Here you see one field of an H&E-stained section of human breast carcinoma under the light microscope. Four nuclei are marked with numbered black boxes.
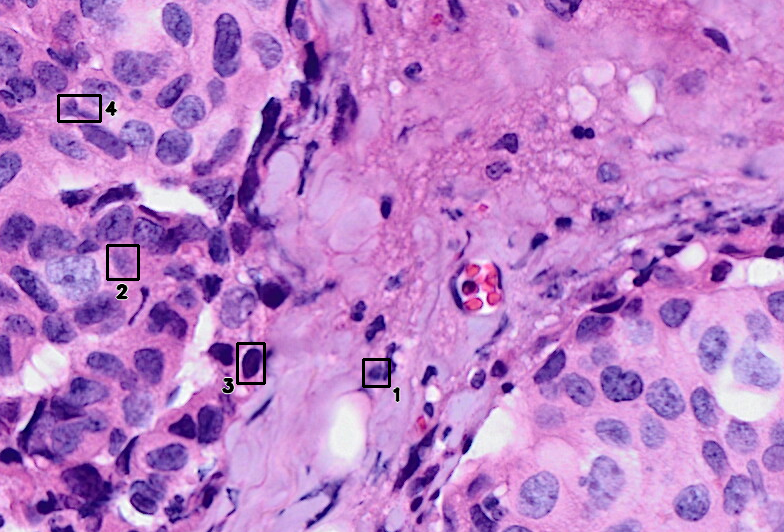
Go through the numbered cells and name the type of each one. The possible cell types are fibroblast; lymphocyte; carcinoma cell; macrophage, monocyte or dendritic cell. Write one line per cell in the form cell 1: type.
cell 1: lymphocyte
cell 2: carcinoma cell
cell 3: carcinoma cell
cell 4: carcinoma cell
